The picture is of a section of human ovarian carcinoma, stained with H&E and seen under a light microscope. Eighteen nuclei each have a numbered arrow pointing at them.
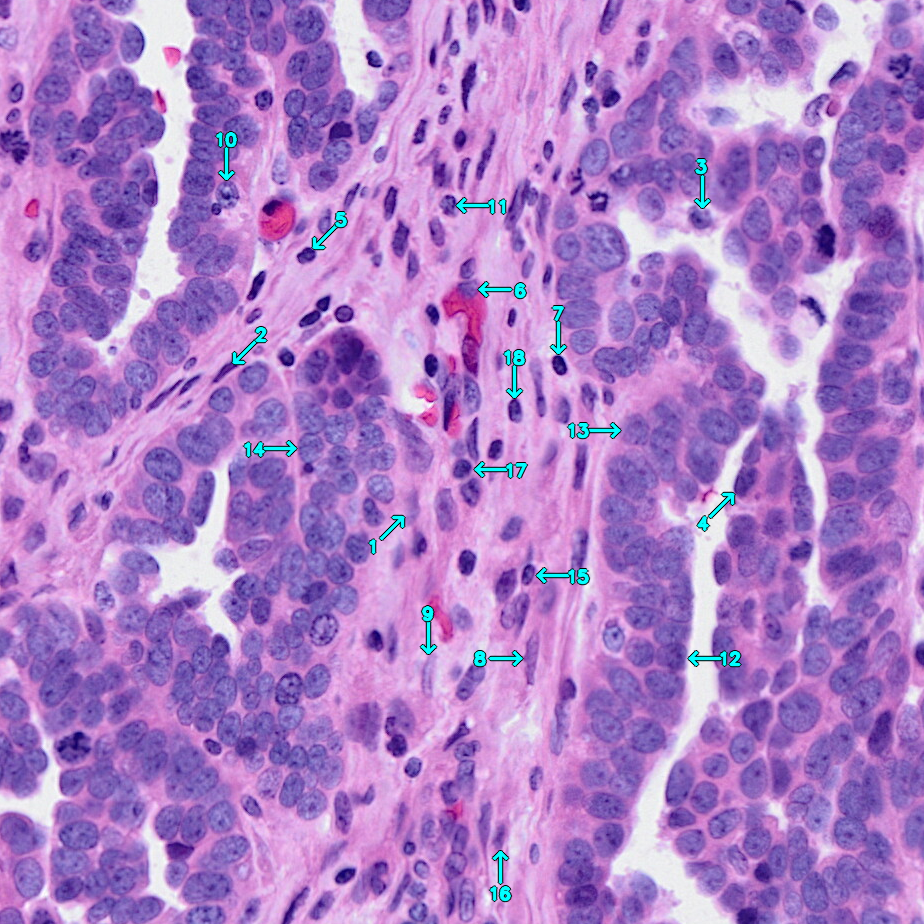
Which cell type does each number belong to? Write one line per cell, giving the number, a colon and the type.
1: fibroblast
2: fibroblast
3: macrophage or monocyte
4: carcinoma cell
5: lymphocyte
6: endothelial cell
7: lymphocyte
8: fibroblast
9: fibroblast
10: macrophage or monocyte
11: lymphocyte
12: carcinoma cell
13: carcinoma cell
14: carcinoma cell
15: lymphocyte
16: fibroblast
17: lymphocyte
18: lymphocyte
